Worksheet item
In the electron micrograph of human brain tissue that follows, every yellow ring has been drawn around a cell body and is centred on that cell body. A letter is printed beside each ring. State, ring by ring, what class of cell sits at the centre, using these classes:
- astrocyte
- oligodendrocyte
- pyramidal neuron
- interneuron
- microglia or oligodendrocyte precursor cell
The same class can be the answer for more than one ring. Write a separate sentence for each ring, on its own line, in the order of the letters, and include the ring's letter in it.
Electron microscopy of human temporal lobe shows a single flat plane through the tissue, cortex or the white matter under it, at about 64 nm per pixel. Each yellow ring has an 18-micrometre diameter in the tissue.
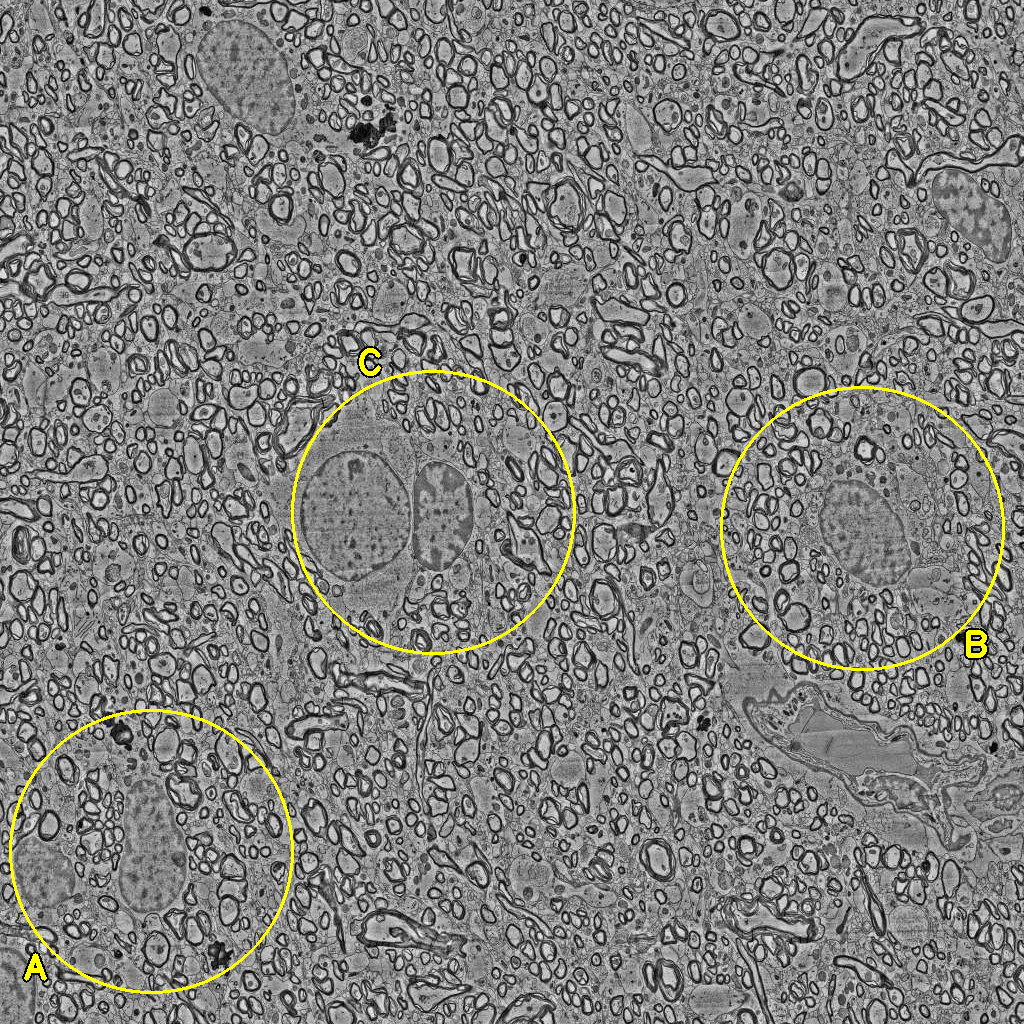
At the centre of ring A sits an oligodendrocyte.
At the centre of ring B sits an oligodendrocyte.
At the centre of ring C sits a microglial cell or oligodendrocyte precursor cell.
